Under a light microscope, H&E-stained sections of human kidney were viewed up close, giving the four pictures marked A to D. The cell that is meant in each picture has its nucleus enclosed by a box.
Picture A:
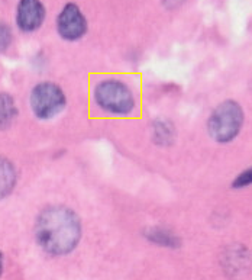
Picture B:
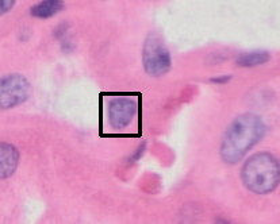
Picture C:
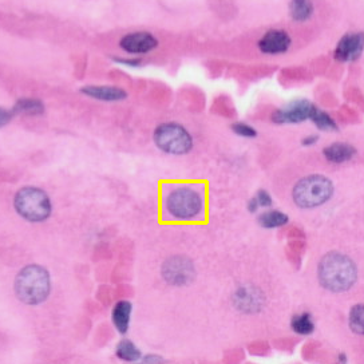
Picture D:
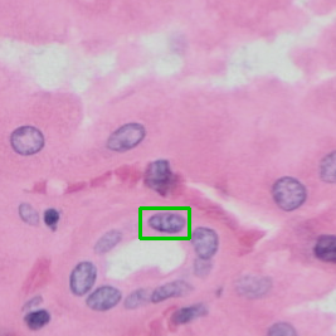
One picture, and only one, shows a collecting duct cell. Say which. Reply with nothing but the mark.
D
